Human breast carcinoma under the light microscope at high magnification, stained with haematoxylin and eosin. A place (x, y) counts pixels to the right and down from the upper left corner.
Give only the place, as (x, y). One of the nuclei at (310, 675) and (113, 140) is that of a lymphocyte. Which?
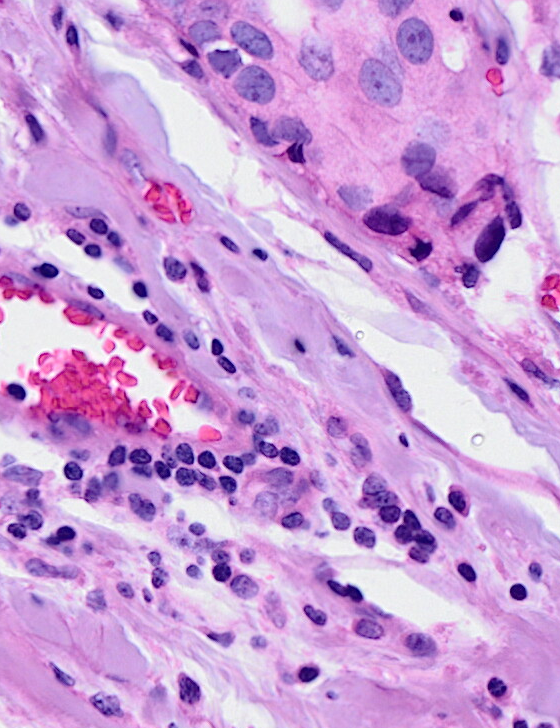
(310, 675)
